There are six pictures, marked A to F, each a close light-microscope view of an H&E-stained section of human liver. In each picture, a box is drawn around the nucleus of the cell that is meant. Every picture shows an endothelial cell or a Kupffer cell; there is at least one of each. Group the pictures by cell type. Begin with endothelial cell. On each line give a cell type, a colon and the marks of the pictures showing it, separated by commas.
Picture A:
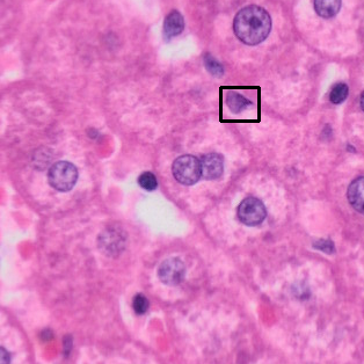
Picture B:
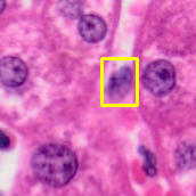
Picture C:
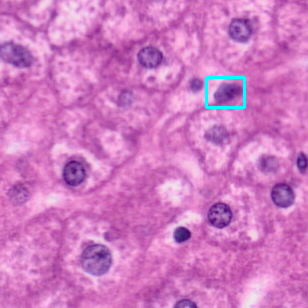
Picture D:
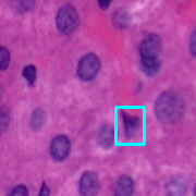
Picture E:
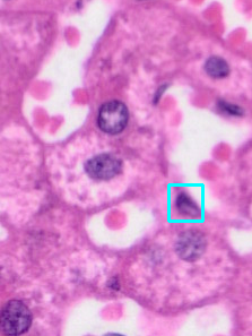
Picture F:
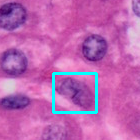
endothelial cell: A, B, C, D
Kupffer cell: E, F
